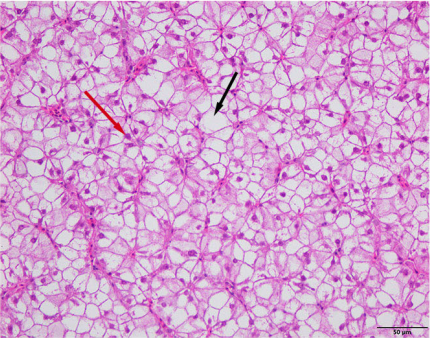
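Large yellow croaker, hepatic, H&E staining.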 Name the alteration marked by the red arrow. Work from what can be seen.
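Nuclear migration. The red arrow points at a purple nucleus lying at the edge of a cell rather than its centre. Many nuclei sit against the cell borders of pale, vacuolated cells.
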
